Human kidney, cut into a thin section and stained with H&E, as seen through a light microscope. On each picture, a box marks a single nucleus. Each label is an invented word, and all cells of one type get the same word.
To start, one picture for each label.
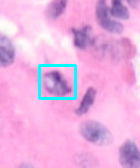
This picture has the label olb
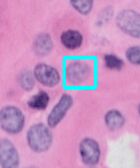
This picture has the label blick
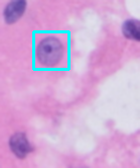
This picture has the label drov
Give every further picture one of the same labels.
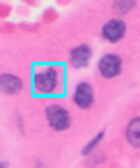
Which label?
olb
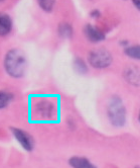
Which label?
olb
